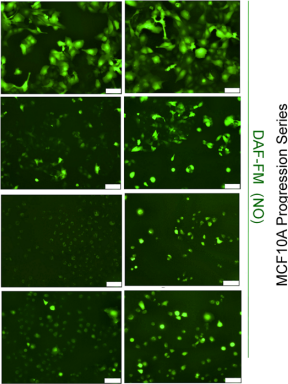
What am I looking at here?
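In the top row the cells are spread and flattened, many with irregular outlines and short projections, and glow brightly. In lower rows the cells are mostly smaller and rounded, scattered singly or in small groups, with fluorescence varying in brightness from dim to bright between the two columns.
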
